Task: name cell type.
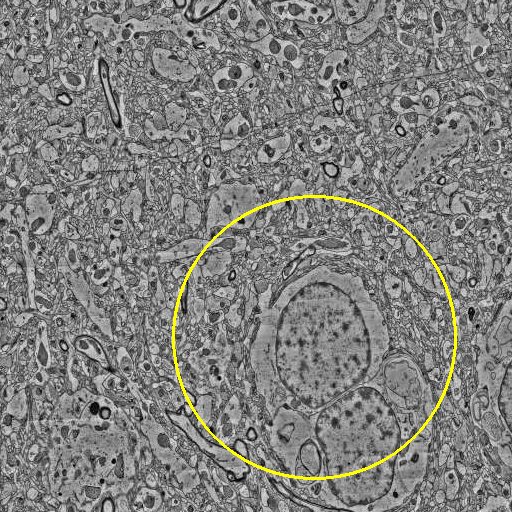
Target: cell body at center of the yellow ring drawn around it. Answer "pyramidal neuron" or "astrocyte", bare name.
astrocyte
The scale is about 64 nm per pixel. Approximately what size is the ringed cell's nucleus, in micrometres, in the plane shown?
Approximately 8 micrometres long and 6 micrometres wide, in this plane.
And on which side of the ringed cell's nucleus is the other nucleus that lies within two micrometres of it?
That other nucleus appears to the lower right of it.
